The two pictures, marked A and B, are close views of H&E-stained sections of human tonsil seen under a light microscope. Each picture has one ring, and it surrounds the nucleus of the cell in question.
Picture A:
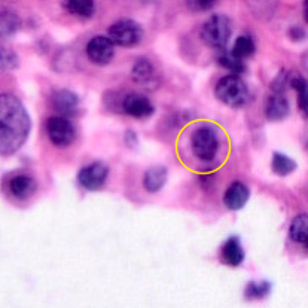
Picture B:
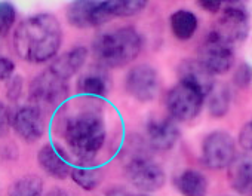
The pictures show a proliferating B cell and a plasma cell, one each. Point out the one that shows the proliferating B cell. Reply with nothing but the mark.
B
